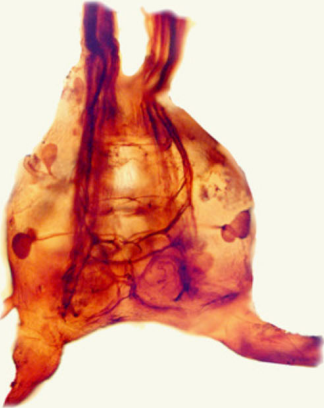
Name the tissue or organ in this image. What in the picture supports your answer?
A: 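A compact stained body with two nerve trunks leaving at the top. Two extensions project from the lower corners. Fibre tracts and a few round cell bodies are visible inside. On this evidence: terminal abdominal ganglion.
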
